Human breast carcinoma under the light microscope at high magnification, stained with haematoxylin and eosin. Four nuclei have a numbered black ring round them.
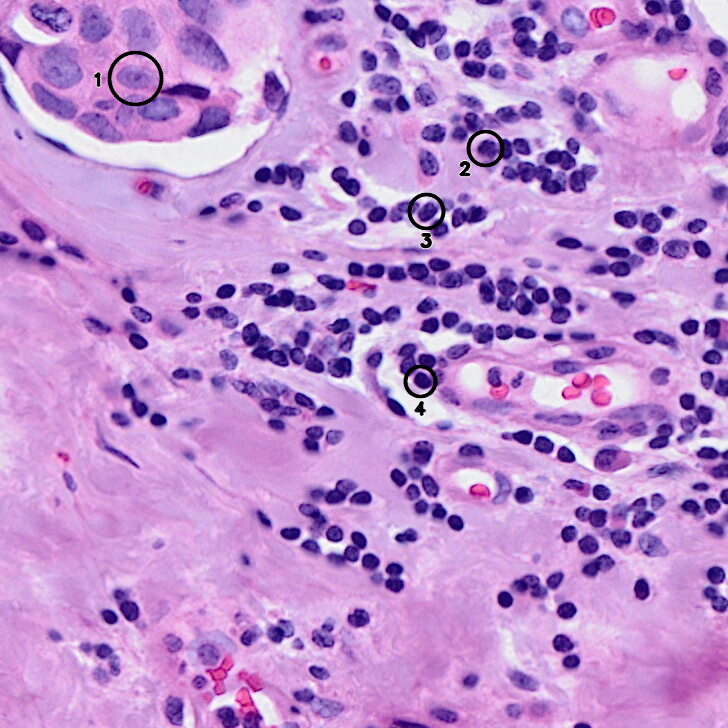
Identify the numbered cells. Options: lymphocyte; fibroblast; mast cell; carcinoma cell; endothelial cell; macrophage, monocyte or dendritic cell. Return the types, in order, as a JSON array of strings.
["carcinoma cell", "lymphocyte", "lymphocyte", "lymphocyte"]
